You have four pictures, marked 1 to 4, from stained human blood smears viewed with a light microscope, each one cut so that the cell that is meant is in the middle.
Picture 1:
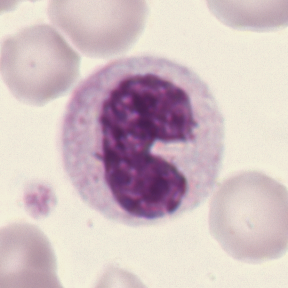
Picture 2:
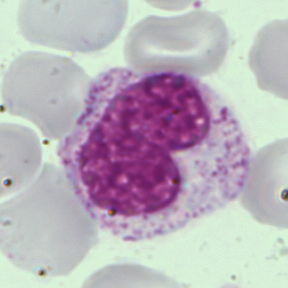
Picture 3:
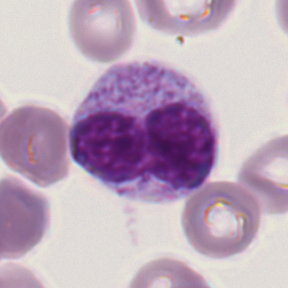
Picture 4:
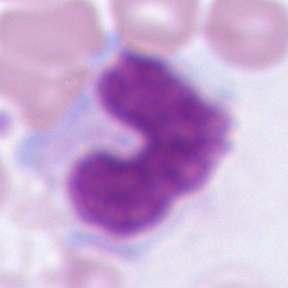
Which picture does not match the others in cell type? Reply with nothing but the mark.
4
